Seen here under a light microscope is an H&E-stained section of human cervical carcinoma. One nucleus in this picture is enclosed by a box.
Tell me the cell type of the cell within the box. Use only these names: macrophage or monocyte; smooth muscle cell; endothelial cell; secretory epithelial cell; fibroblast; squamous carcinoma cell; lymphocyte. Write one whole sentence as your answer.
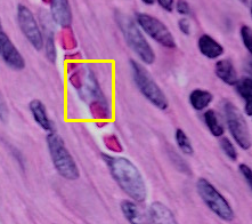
By its classification, the cell within the box is an endothelial cell.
